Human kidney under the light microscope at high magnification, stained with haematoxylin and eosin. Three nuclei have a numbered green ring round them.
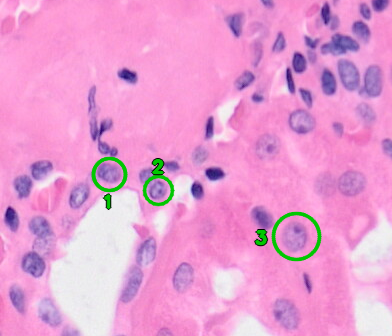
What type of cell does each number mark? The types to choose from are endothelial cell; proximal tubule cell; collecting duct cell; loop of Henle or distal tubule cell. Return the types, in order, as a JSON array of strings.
["collecting duct cell", "collecting duct cell", "proximal tubule cell"]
